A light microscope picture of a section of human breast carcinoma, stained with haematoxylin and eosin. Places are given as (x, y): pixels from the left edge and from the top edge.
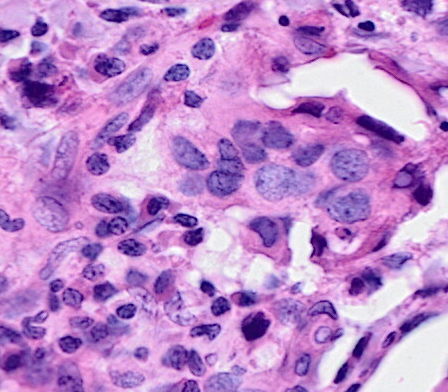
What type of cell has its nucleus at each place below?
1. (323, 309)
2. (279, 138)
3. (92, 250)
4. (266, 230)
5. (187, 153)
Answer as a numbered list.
1. endothelial cell
2. carcinoma cell
3. lymphocyte
4. carcinoma cell
5. carcinoma cell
